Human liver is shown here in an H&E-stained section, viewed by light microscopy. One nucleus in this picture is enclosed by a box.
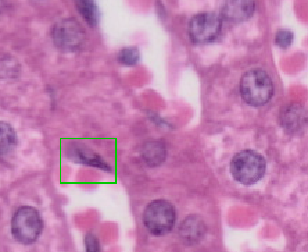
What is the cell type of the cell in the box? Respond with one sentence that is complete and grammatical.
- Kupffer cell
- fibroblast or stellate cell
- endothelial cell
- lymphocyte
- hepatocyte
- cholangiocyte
For cell typing purposes, the cell in the box is an endothelial cell.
